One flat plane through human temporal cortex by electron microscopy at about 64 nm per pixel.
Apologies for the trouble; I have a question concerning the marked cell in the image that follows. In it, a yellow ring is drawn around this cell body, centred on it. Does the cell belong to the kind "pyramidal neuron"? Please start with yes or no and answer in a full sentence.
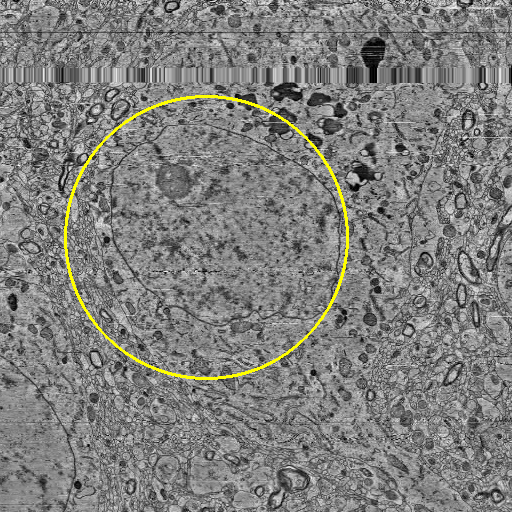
Yes, the cell at the centre of the ring in the picture is of that kind.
